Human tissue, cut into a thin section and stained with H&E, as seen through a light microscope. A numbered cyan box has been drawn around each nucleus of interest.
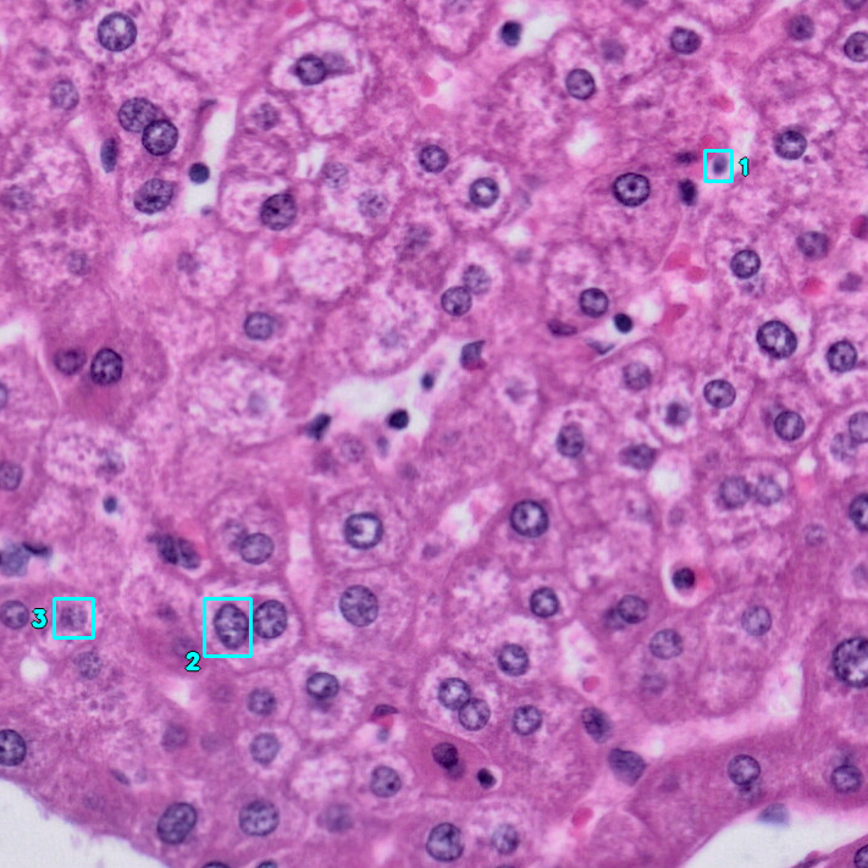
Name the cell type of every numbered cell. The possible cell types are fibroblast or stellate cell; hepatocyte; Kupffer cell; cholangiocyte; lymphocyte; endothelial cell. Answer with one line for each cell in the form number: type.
1: lymphocyte
2: hepatocyte
3: hepatocyte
